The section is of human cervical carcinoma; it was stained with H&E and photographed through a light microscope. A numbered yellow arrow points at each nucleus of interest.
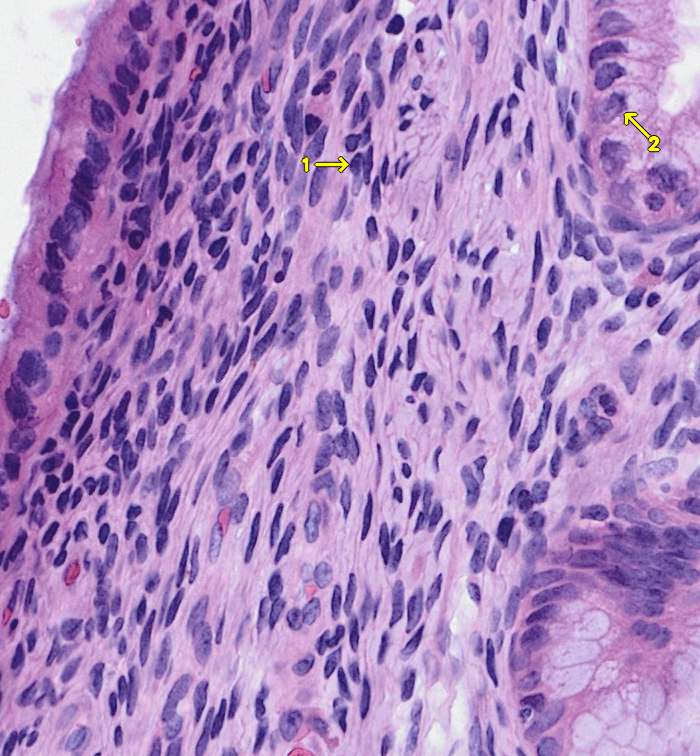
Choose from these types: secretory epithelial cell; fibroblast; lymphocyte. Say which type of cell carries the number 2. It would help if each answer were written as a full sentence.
The cell numbered 2 represents a secretory epithelial cell.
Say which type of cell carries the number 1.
The cell to which the number 1 is assigned is a fibroblast.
